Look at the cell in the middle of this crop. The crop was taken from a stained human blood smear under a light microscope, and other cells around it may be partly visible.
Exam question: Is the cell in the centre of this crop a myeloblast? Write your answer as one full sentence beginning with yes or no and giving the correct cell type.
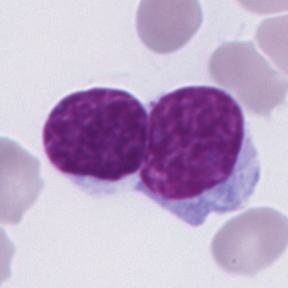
Yes, the cell sitting in the middle of this smear crop is a myeloblast.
